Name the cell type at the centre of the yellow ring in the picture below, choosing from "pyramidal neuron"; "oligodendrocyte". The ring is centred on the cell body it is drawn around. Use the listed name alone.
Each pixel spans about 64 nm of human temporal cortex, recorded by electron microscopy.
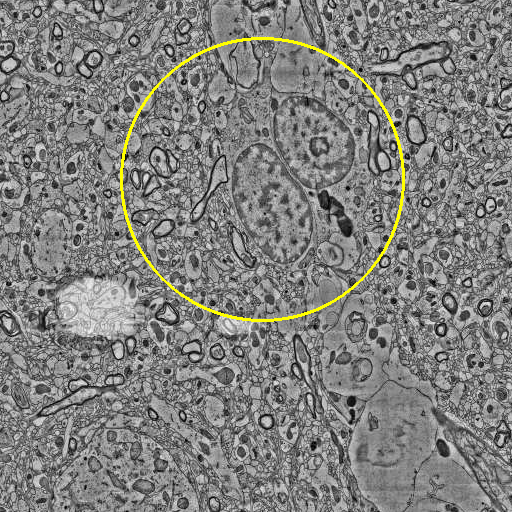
oligodendrocyte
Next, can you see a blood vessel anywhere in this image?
Yes, a blood vessel shows in the picture.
